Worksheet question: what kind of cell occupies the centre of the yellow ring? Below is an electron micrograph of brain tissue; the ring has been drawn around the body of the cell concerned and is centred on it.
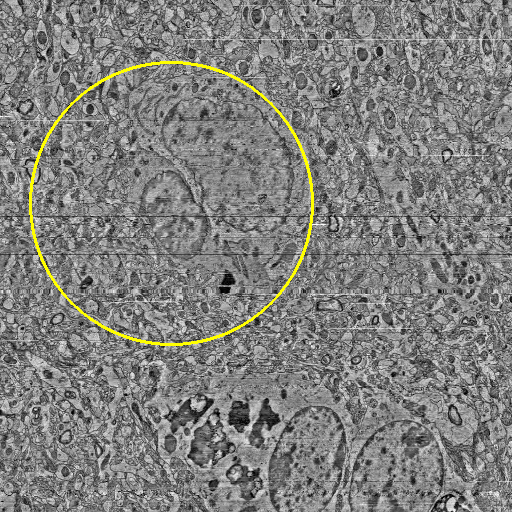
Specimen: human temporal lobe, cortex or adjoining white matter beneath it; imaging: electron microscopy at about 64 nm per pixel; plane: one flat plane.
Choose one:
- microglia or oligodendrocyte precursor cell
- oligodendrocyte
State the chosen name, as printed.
oligodendrocyte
